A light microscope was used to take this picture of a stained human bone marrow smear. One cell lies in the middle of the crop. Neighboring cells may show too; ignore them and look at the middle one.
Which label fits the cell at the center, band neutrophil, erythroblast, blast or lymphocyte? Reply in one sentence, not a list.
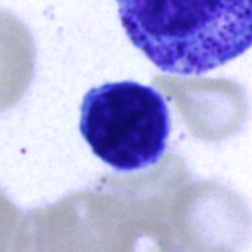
As for the central cell, it is a lymphocyte.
